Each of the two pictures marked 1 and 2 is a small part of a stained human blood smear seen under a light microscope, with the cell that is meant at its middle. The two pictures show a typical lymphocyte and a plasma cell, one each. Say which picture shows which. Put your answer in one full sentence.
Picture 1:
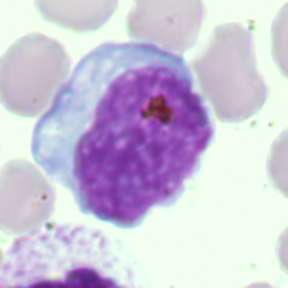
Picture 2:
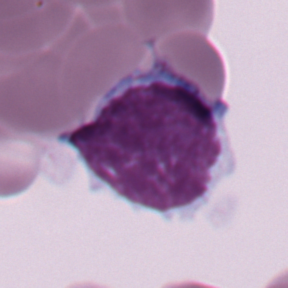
Picture 2 shows a typical lymphocyte, while picture 1 shows a plasma cell.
